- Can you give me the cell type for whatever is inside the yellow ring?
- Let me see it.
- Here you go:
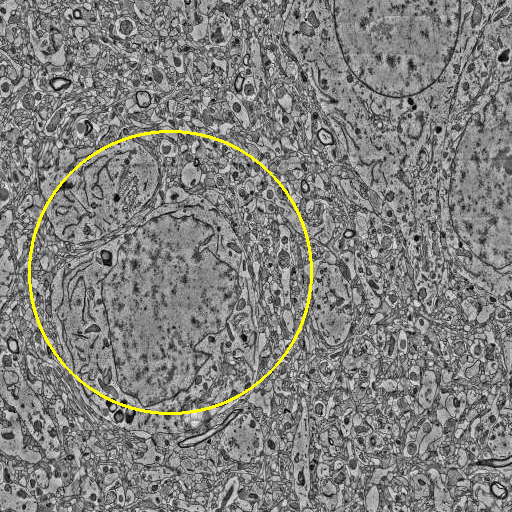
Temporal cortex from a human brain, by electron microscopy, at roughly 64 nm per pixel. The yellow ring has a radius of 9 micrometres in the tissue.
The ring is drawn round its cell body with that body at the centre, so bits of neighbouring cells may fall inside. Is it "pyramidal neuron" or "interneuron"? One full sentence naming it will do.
The cell body in the middle of the ring in this picture belongs to an interneuron.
